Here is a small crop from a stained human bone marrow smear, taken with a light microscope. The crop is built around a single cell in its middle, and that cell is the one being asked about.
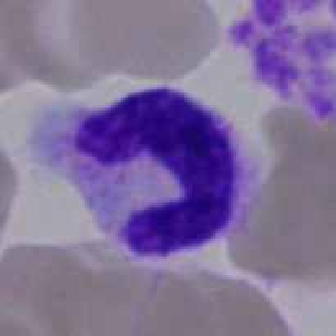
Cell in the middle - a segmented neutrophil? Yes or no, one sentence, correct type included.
Yes, the crop is centred on a segmented neutrophil.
